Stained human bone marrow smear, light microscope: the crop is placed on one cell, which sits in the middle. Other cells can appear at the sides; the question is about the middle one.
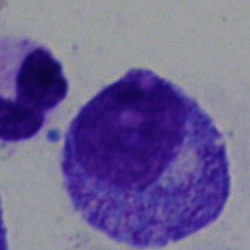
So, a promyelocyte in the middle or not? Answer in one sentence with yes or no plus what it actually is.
Yes, the cell in the middle of this smear crop is a promyelocyte.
